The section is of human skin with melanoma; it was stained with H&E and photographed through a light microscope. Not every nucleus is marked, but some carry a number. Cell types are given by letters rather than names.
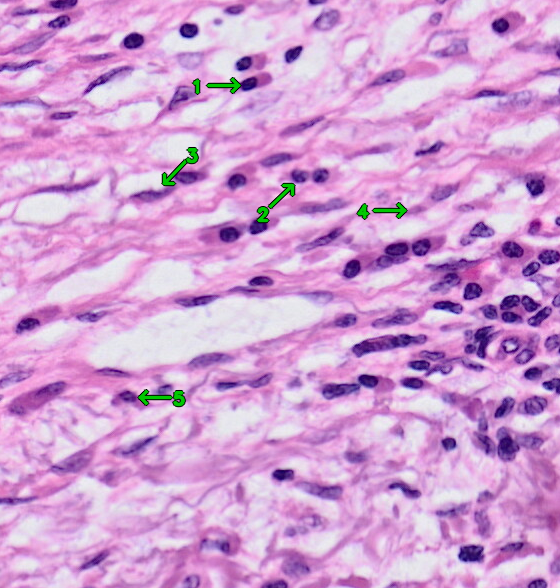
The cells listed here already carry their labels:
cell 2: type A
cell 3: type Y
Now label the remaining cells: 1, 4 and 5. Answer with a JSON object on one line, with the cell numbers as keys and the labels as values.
{"1": "type A", "4": "type Y", "5": "type A"}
